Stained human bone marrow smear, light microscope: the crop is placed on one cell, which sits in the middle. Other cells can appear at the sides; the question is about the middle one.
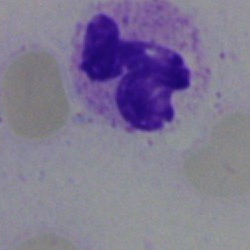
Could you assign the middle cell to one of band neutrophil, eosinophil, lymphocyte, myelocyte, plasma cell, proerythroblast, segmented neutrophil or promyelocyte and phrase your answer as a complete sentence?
The cell found in the middle of this crop is a segmented neutrophil.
